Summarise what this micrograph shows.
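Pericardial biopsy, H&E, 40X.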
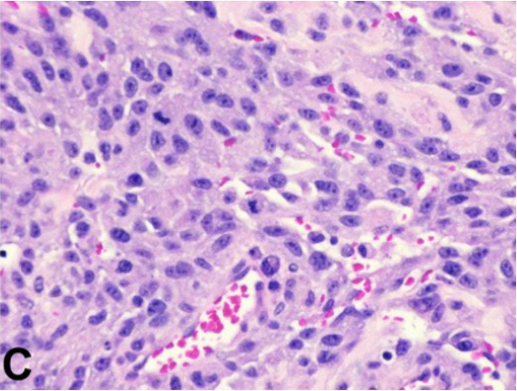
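This high-power view shows plump, epithelioid tumour cells with moderate amounts of pink cytoplasm arranged loosely around narrow channels filled with red blood cells. The nuclei are enlarged, oval to irregular, and vary noticeably in size and darkness, with some clearly hyperchromatic. Small nucleoli can be made out in several nuclei, and the cells lack any orderly arrangement.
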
